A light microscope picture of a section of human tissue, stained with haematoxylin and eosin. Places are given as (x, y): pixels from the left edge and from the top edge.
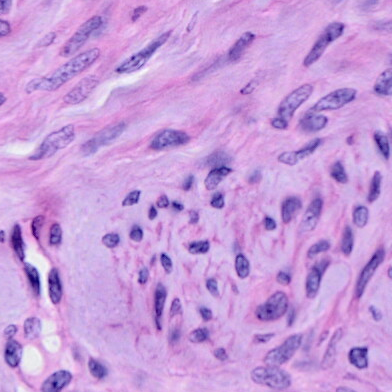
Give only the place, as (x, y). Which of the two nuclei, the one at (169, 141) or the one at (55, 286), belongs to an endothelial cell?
(55, 286)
